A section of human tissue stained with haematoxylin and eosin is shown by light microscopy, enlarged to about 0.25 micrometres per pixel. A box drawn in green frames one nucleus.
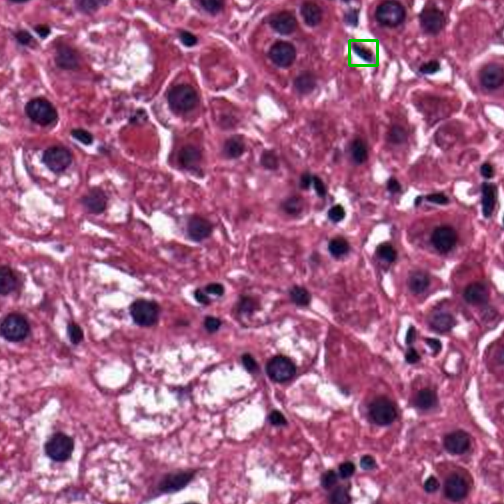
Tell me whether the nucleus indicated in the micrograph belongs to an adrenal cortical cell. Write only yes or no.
no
